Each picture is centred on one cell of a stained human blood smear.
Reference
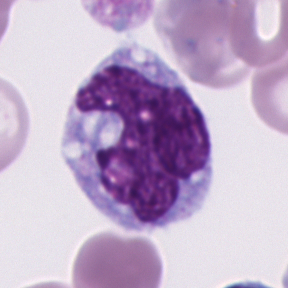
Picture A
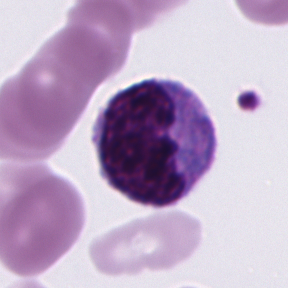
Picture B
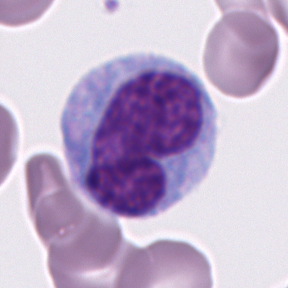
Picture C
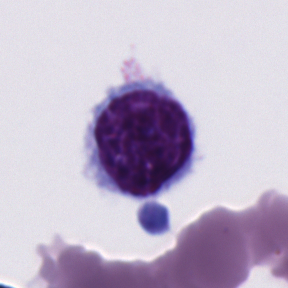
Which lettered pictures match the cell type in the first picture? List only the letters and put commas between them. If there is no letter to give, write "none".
A, B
